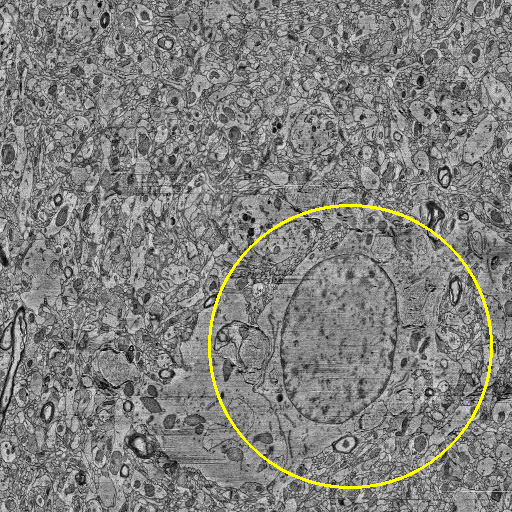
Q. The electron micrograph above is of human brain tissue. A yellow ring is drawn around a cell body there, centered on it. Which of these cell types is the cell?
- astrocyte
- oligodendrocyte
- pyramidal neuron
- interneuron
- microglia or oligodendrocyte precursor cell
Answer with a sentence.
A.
The cell under the ring's center is an astrocyte.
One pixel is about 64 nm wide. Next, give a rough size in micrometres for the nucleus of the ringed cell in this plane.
In this plane the nucleus measures about 11 by 7 micrometres and is clearly longer than it is wide.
